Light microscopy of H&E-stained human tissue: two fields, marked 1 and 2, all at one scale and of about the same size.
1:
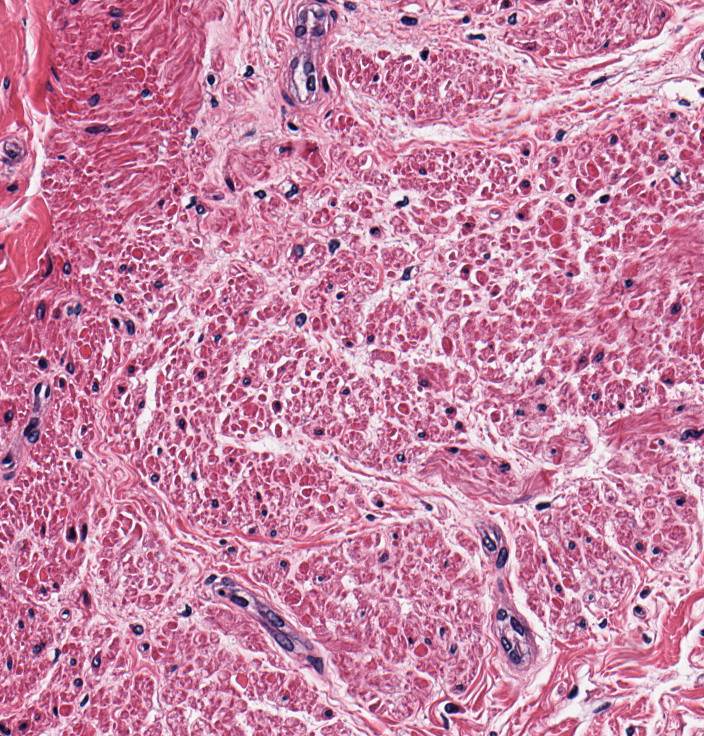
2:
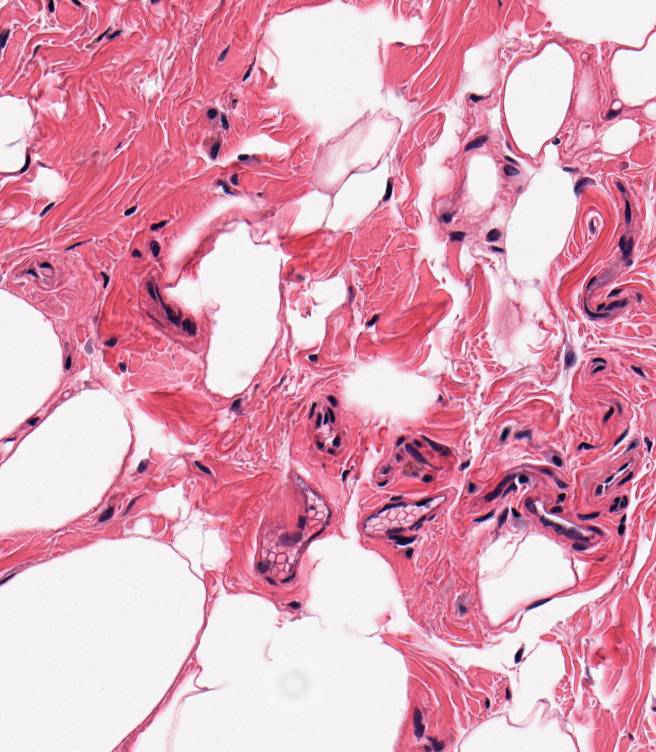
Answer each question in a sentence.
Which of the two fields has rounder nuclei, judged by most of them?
The nuclei are rounder in field 1.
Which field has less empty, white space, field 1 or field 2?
Field 1 has less white space.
